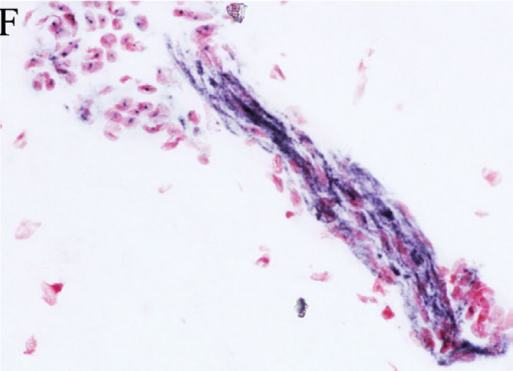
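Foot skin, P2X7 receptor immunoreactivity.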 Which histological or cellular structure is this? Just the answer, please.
nerve fibre bundle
